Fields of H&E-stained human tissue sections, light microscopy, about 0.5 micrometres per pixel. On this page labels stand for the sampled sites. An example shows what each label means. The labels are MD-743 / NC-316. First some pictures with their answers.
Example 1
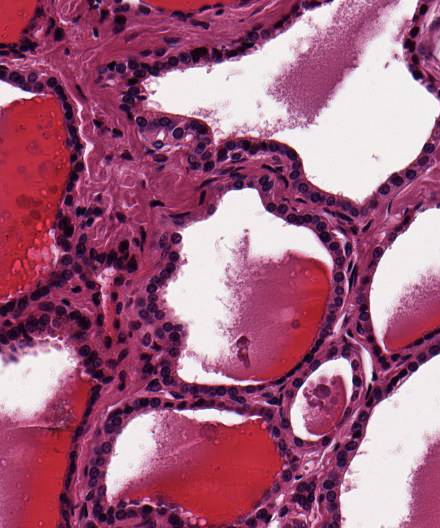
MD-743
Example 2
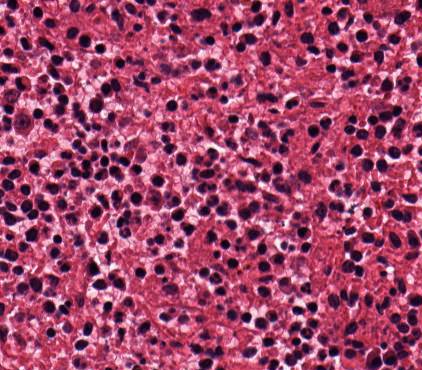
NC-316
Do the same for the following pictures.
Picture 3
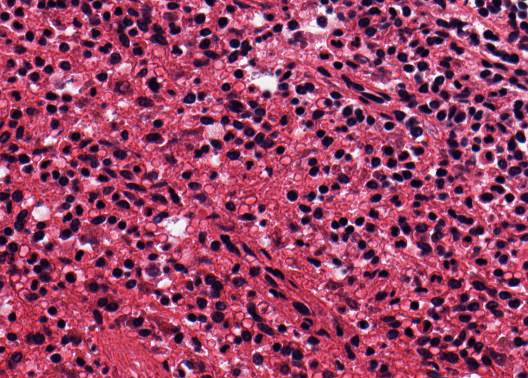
NC-316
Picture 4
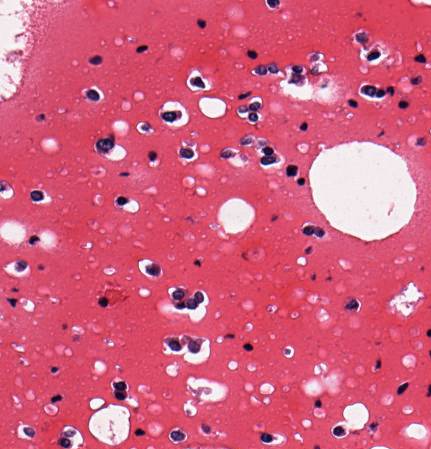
MD-743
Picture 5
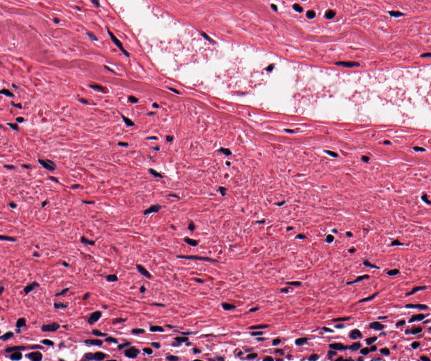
NC-316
